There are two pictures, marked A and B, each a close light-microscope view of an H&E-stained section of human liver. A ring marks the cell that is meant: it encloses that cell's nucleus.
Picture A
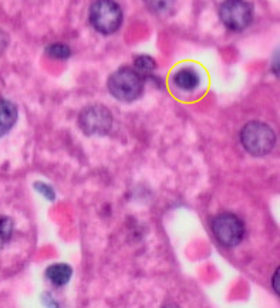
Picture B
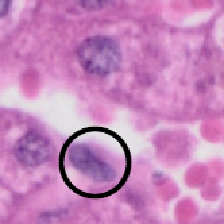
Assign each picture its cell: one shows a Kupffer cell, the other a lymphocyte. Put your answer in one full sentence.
Picture A is of a lymphocyte, and picture B is of a Kupffer cell.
